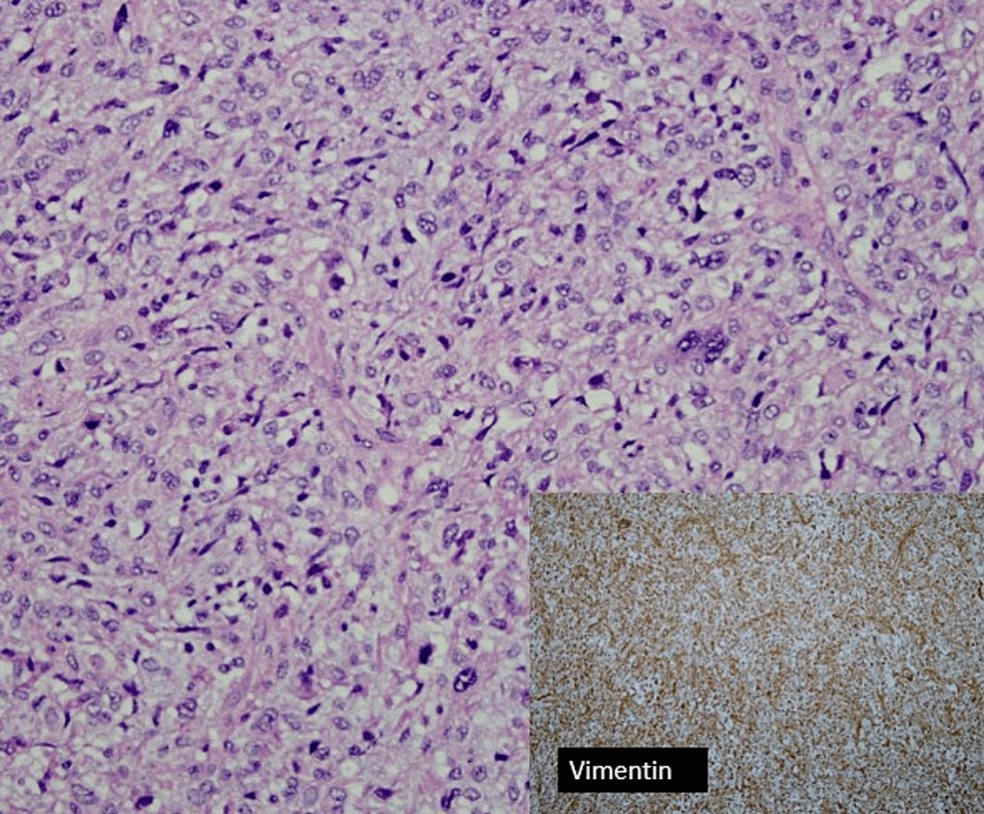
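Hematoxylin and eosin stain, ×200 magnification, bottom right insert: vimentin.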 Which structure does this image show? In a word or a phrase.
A: diffuse sheets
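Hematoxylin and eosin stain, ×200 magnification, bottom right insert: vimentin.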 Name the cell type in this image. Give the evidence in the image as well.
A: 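Many cells are spindle-shaped with elongated nuclei in a fibrillary pink background. Atypical, pleomorphic nuclei throughout. Cells lack cohesive epithelial arrangement.
Answer: Malignant mesenchymal component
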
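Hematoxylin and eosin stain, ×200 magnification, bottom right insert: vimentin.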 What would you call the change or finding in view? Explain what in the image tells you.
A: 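Moderate-to-marked pleomorphism. Nuclei vary widely in size and shape, from small dark elongated to large round vesicular ones. Scattered enlarged hyperchromatic, irregular nuclei.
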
